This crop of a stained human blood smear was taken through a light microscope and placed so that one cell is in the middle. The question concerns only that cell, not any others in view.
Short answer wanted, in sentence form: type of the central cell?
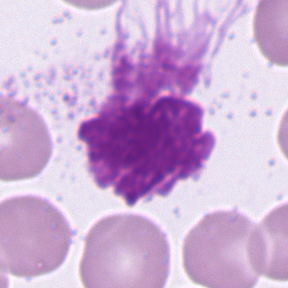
The cell under consideration, at the middle of the crop, is a smudge cell.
